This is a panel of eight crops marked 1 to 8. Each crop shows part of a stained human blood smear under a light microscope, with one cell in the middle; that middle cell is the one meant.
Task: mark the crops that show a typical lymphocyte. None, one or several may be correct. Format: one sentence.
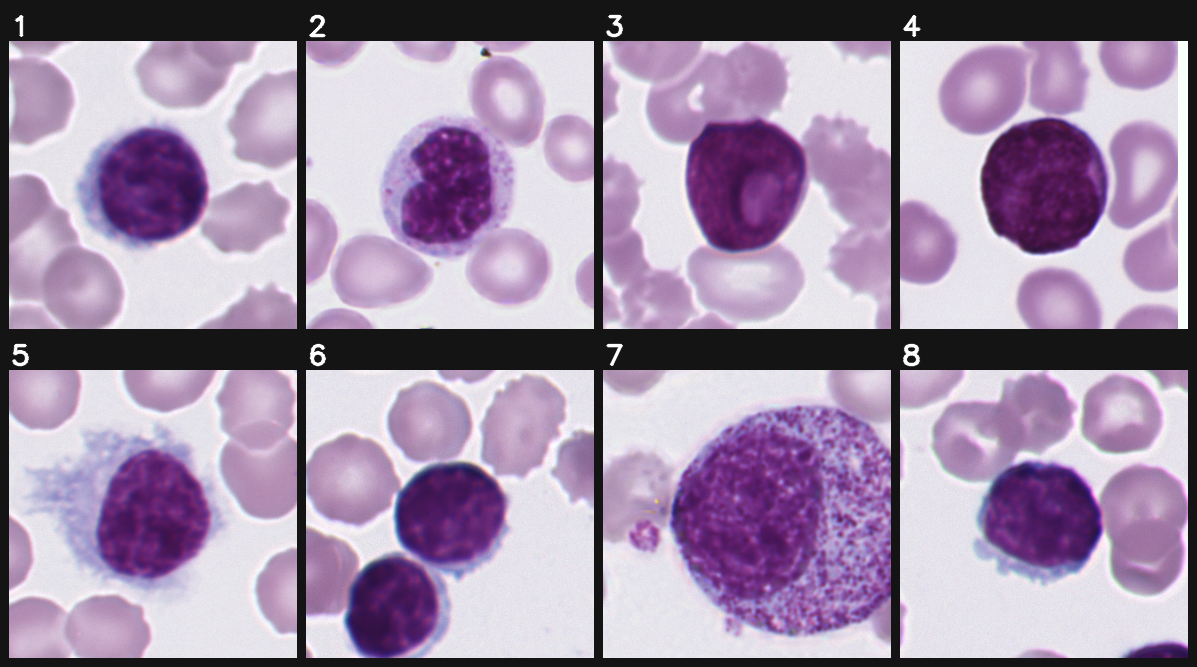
The crops labelled 6 and 8 show typical lymphocytes at the centre.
